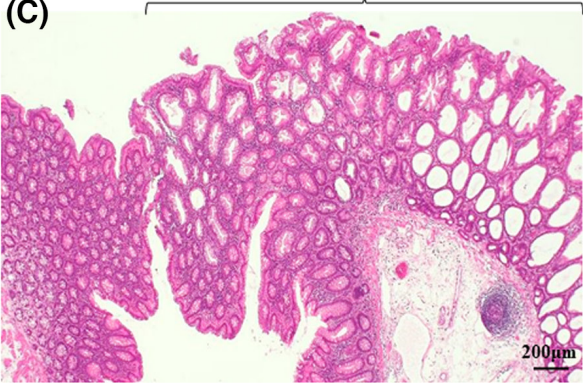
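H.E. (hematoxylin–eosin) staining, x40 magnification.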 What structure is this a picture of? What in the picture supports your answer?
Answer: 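Distorted crypts. On the right the crypts are widened with open, irregular lumens. Some crypt lumens have a saw-toothed outline. Crypts on the left are small, regular and round in cross section.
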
